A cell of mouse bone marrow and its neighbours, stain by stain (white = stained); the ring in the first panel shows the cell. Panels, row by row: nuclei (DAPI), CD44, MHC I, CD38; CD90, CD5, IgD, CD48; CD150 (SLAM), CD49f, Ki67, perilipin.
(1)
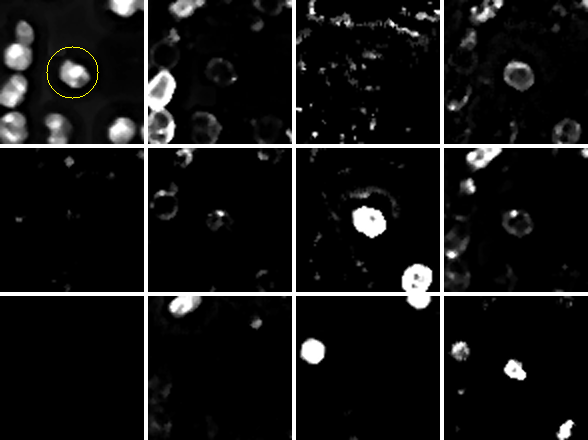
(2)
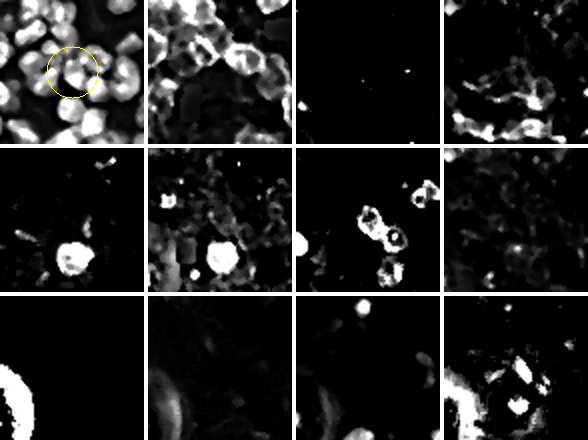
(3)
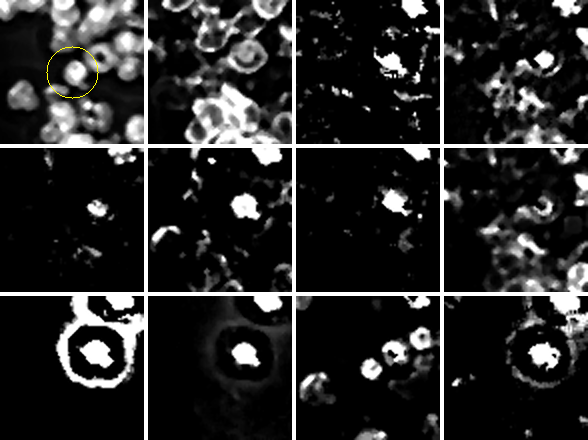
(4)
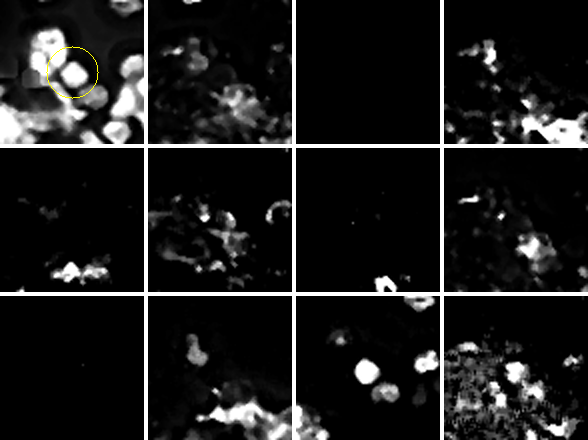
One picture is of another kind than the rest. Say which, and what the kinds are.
Picture 3 shows an erythroblast; the rest show B cells.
